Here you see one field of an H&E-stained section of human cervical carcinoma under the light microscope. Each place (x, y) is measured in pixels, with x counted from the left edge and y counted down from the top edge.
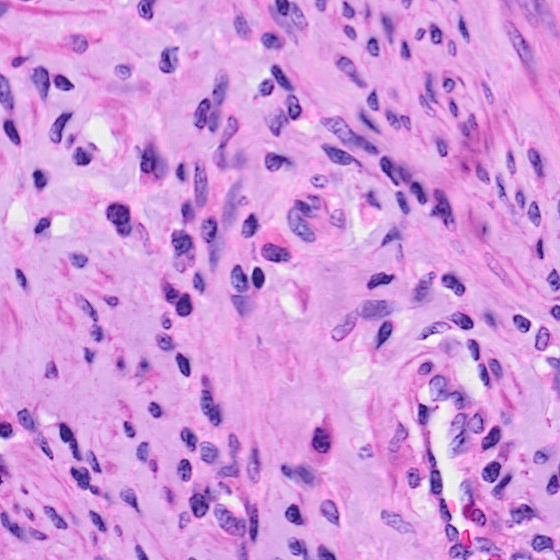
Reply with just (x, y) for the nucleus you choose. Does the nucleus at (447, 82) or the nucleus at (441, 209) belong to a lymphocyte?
(441, 209)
